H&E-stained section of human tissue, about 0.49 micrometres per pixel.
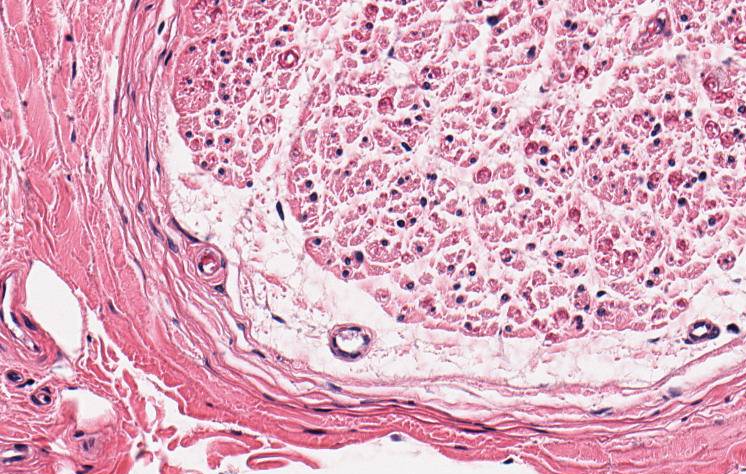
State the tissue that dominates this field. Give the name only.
nerve fascicle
